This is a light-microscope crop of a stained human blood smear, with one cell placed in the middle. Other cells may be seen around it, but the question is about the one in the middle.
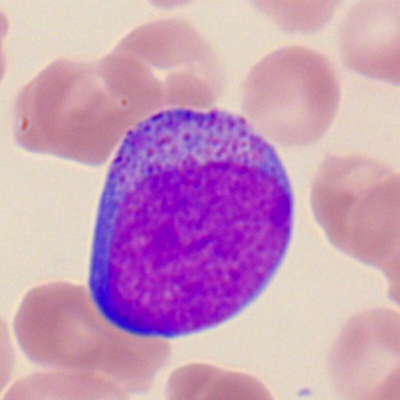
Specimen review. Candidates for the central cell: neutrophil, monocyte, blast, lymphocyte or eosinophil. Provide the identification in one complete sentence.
Answering briefly, the cell in the middle is a blast.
